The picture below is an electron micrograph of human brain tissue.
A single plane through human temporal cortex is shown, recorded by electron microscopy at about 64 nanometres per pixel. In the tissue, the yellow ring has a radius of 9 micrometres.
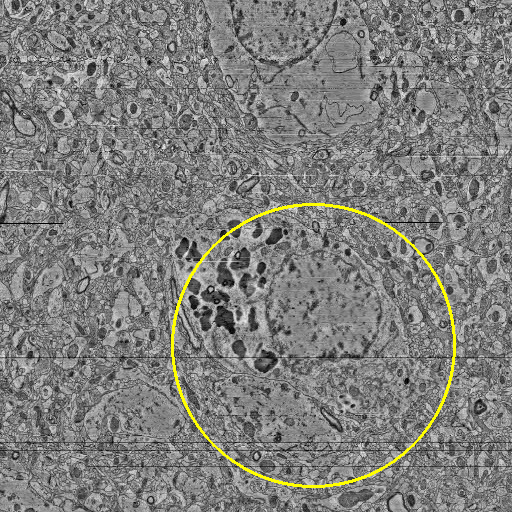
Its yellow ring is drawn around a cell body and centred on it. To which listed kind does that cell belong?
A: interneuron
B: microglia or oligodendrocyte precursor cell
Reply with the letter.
A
